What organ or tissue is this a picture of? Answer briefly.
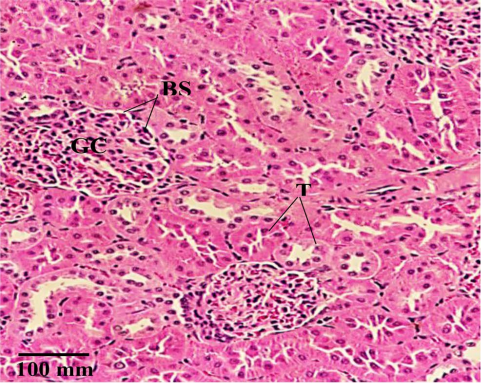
kidney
